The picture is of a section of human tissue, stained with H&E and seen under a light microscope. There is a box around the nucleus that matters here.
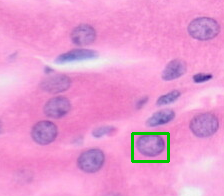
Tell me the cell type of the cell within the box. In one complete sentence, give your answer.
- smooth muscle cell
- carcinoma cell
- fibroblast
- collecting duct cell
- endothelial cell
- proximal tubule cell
The cell type represented by the cell within the box is that of a proximal tubule cell.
